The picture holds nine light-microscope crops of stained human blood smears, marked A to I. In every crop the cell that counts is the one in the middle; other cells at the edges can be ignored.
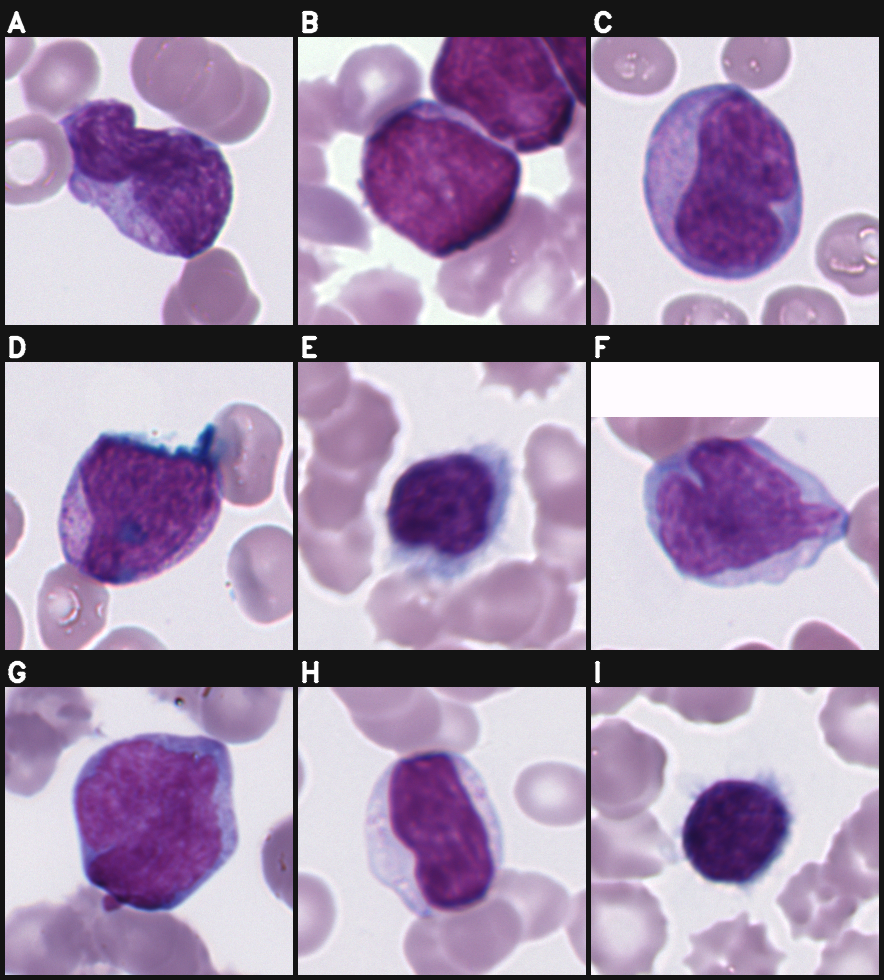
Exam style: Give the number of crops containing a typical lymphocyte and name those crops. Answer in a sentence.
The count, given that no crop shows typical lymphocytes, is zero.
